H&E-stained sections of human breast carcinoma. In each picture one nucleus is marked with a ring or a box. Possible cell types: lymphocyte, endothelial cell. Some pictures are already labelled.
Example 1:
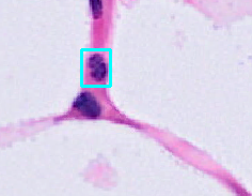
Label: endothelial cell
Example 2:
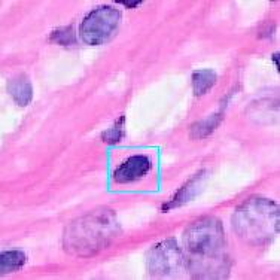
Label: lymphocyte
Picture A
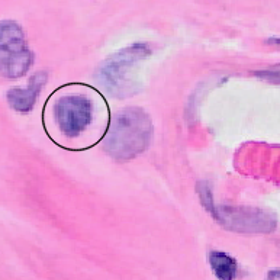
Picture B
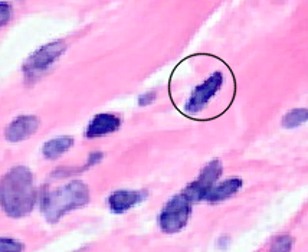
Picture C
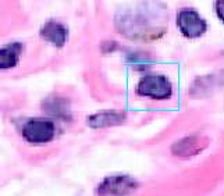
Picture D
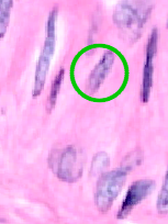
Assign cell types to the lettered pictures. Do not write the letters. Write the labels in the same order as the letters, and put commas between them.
lymphocyte, lymphocyte, lymphocyte, endothelial cell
